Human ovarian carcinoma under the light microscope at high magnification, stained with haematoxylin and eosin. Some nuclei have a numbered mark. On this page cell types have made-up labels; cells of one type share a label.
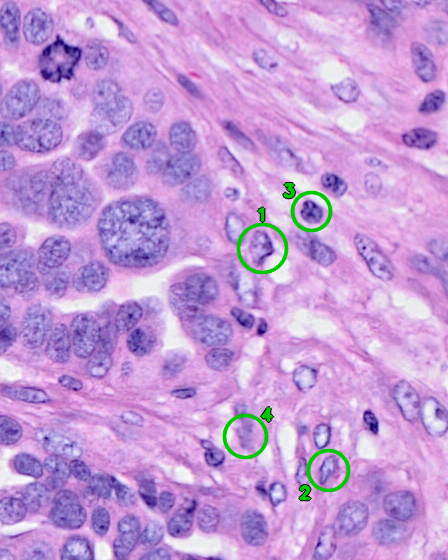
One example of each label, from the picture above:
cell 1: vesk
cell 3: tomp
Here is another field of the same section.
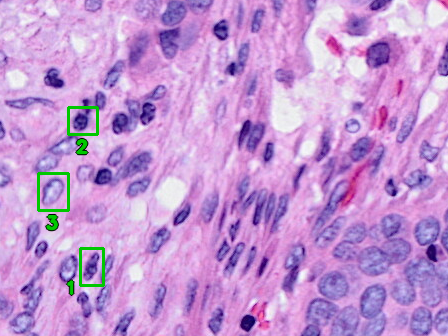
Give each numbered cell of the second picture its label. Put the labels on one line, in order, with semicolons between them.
tomp; tomp; vesk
